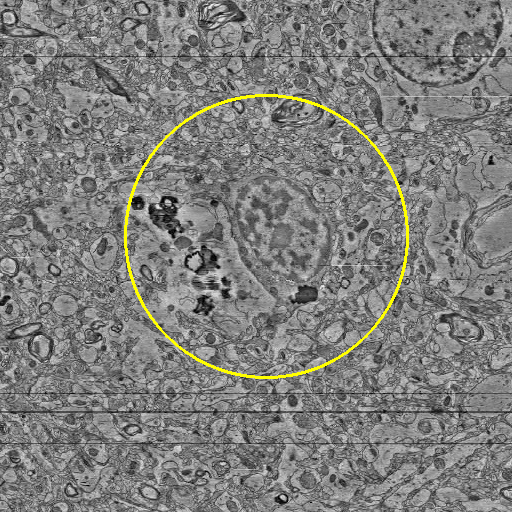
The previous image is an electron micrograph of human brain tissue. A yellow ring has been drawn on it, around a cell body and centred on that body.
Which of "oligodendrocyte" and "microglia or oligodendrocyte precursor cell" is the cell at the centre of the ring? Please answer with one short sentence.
The cell body at the centre of the ring belongs to an oligodendrocyte.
